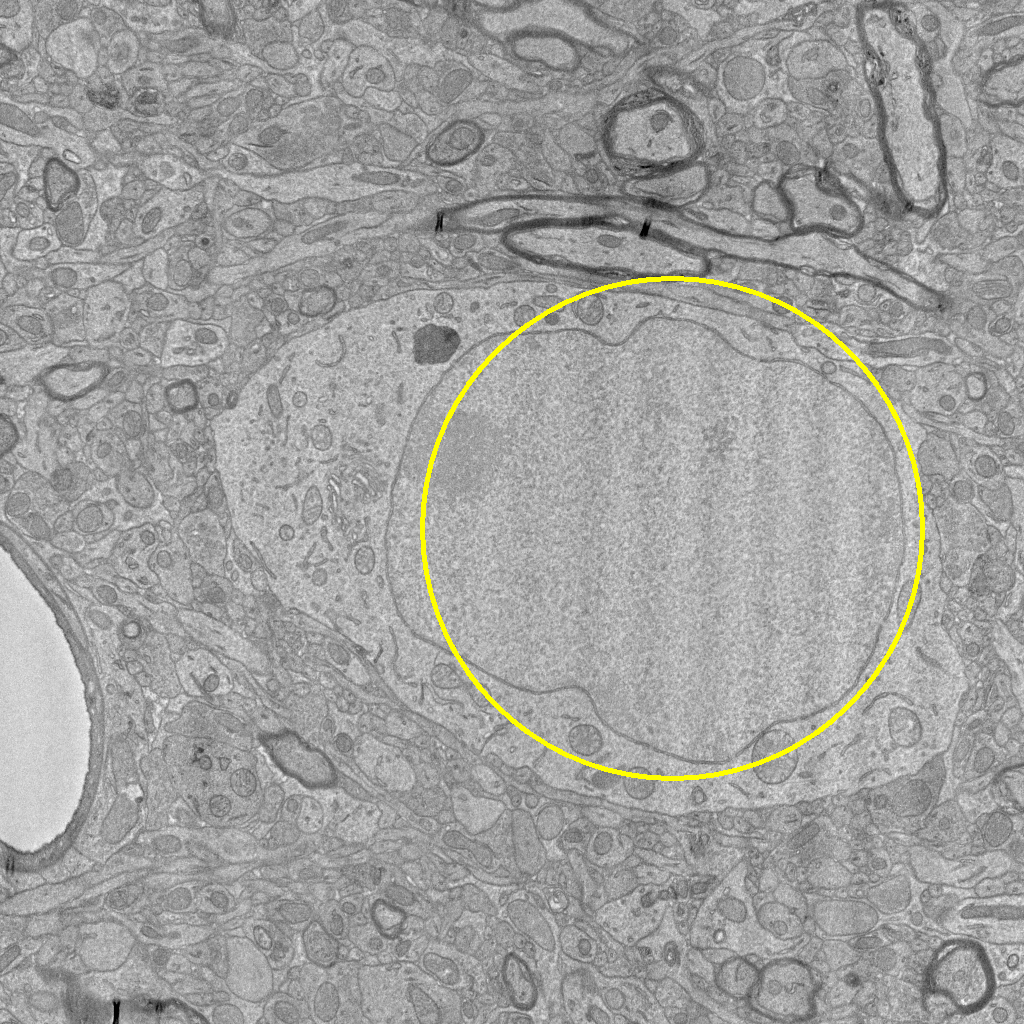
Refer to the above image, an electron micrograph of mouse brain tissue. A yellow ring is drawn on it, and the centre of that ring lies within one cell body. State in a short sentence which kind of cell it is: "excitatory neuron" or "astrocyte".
The centre of the ring falls on an excitatory neuron.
